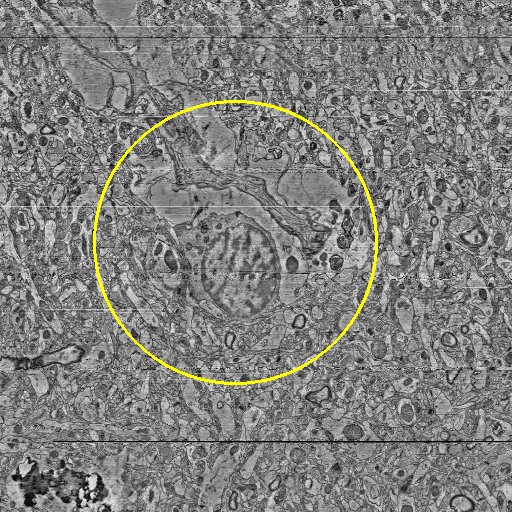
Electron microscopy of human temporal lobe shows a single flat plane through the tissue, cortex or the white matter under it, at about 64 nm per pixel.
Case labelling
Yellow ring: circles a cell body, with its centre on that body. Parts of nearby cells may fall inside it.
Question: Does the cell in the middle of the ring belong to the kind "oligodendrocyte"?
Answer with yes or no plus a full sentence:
Yes, in this picture the cell in the middle of the yellow ring belongs to that kind.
